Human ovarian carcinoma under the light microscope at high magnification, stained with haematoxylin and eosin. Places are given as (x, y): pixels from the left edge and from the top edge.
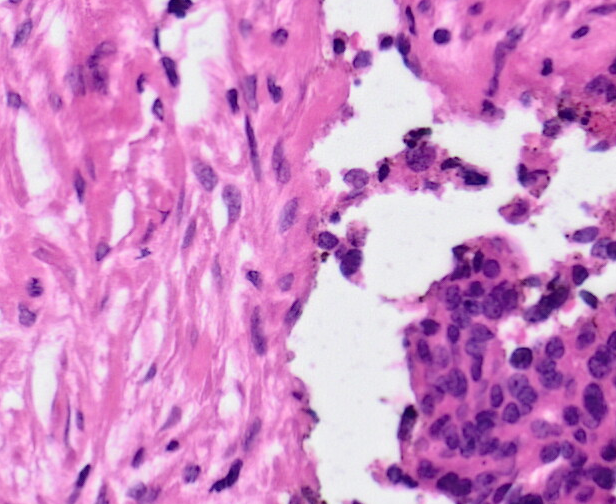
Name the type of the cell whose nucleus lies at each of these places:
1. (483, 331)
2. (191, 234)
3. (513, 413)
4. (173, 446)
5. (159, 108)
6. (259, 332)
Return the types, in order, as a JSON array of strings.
["carcinoma cell", "fibroblast", "carcinoma cell", "fibroblast", "fibroblast", "fibroblast"]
